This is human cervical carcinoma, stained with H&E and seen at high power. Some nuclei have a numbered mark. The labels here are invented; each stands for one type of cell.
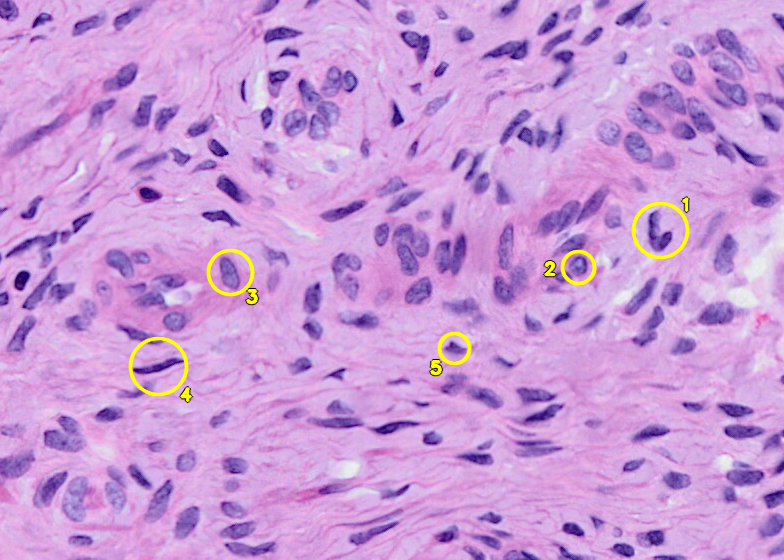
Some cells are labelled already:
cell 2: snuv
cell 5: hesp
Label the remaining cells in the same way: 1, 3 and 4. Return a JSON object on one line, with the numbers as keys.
{"1": "hesp", "3": "snuv", "4": "hesp"}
